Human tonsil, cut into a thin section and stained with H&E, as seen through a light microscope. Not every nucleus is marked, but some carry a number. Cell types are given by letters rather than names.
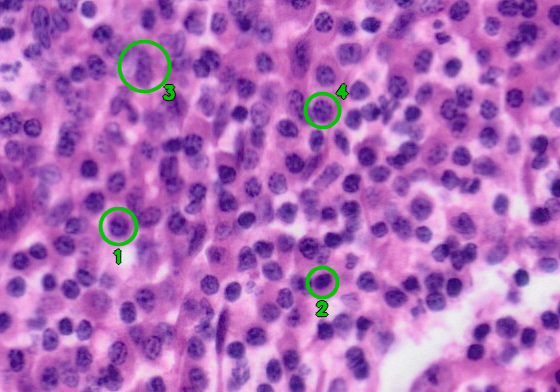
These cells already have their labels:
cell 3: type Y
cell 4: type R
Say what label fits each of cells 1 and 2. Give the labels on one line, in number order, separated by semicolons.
type R; type R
